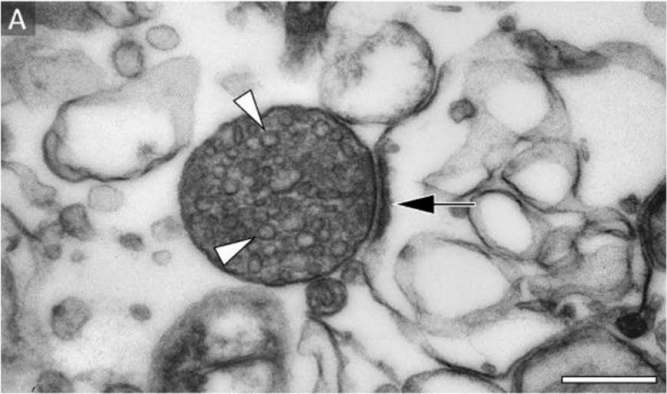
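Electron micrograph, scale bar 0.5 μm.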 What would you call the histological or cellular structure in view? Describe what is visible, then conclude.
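Synaptosomes. A round, membrane-enclosed profile is densely filled with small vesicles. It lies among other loose membranous fragments. A dense membrane thickening marks one side where it contacts another membrane.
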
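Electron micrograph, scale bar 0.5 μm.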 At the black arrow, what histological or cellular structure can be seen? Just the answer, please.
postsynaptic density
